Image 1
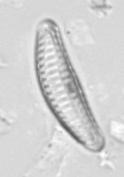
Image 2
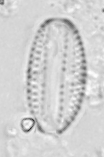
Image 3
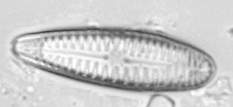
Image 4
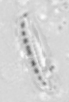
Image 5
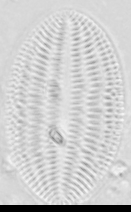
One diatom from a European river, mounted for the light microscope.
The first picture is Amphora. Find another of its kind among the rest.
Picture 2.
